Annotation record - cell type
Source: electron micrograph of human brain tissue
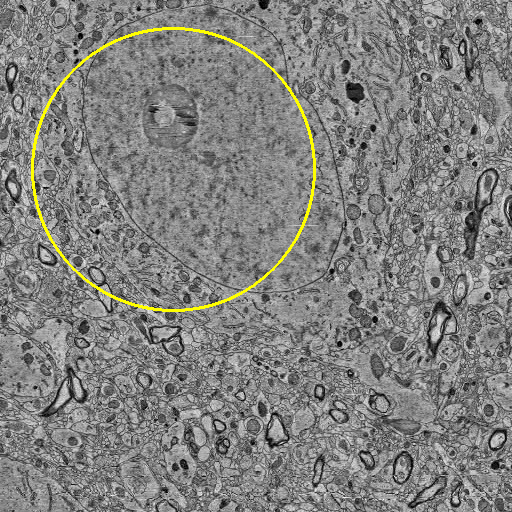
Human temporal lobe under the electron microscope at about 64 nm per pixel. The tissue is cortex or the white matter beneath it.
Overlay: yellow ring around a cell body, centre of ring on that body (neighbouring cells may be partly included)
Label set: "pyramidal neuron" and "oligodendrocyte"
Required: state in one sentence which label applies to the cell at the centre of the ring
This cell should be labelled as a pyramidal neuron.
